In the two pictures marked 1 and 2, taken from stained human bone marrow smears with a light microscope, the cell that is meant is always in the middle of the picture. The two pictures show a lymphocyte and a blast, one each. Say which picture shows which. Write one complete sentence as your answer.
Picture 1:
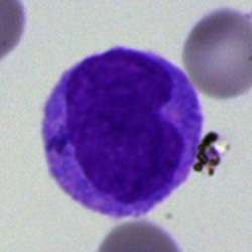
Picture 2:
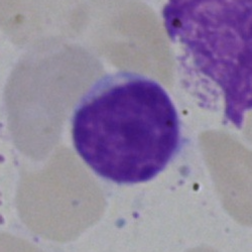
The cell in picture 1 is a blast, and the one in picture 2 is a lymphocyte.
